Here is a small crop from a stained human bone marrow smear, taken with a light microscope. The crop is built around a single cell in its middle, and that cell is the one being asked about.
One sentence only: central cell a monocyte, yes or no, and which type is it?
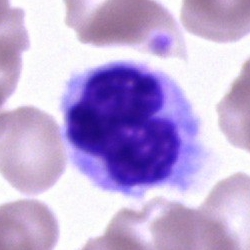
Yes, the cell at the centre is designated a monocyte.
